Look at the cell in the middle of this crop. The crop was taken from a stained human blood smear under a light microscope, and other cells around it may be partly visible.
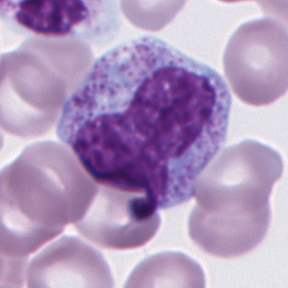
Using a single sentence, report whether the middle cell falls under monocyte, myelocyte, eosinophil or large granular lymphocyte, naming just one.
The middle of this crop holds a myelocyte.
